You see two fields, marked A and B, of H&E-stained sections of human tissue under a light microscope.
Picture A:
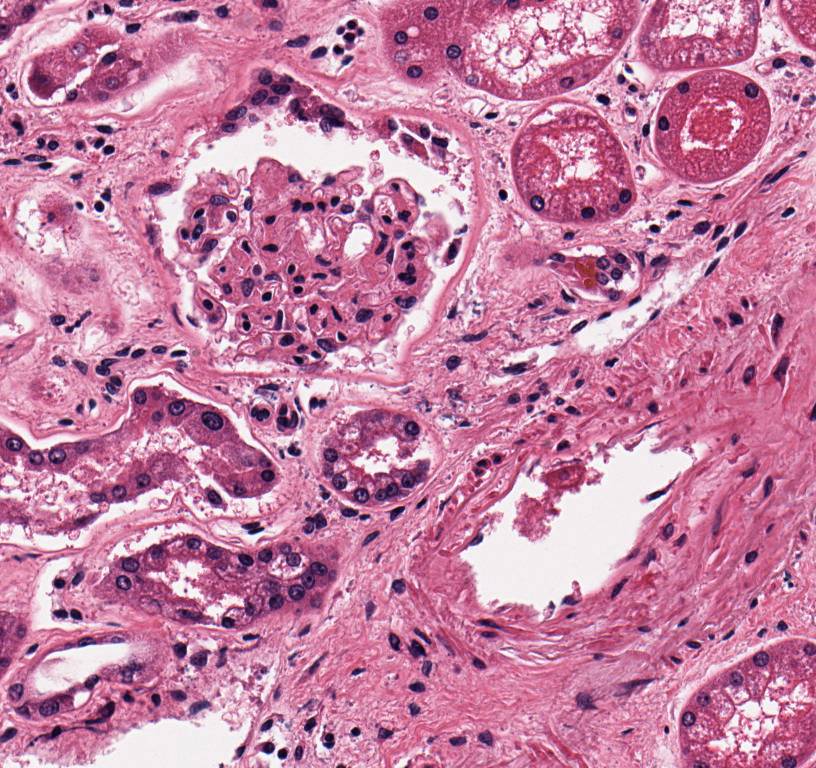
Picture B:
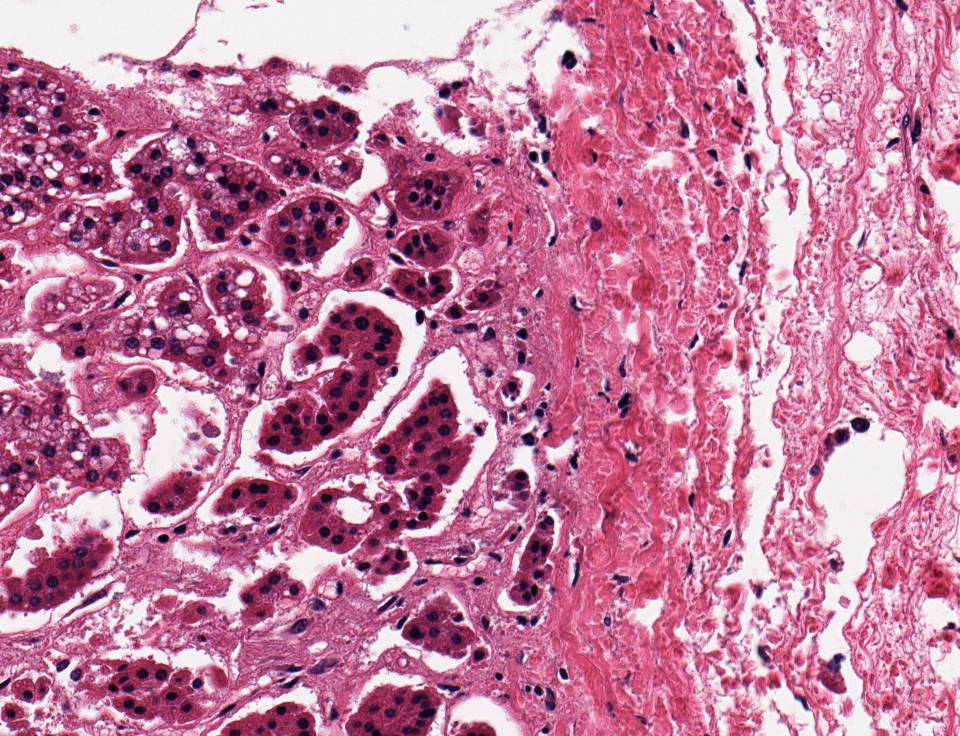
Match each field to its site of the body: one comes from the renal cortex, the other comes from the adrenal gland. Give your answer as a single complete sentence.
Picture B comes from the adrenal gland, while picture A comes from the renal cortex.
